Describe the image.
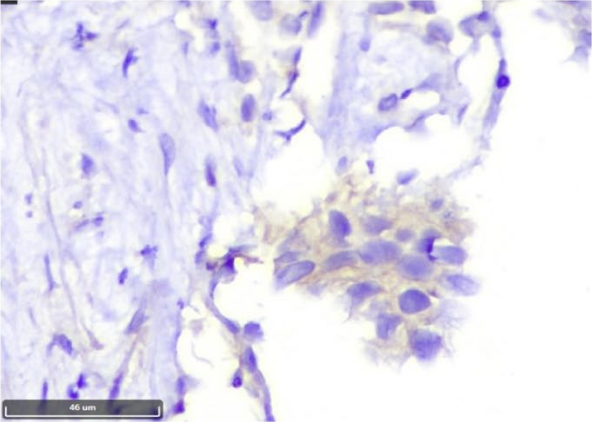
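The cells in the cluster have round to oval, blue nuclei that are crowded together. Their cytoplasm shows a faint, diffuse brownish-yellow stain. The adjacent stroma has wavy fibres and elongated spindle nuclei without brown stain.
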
